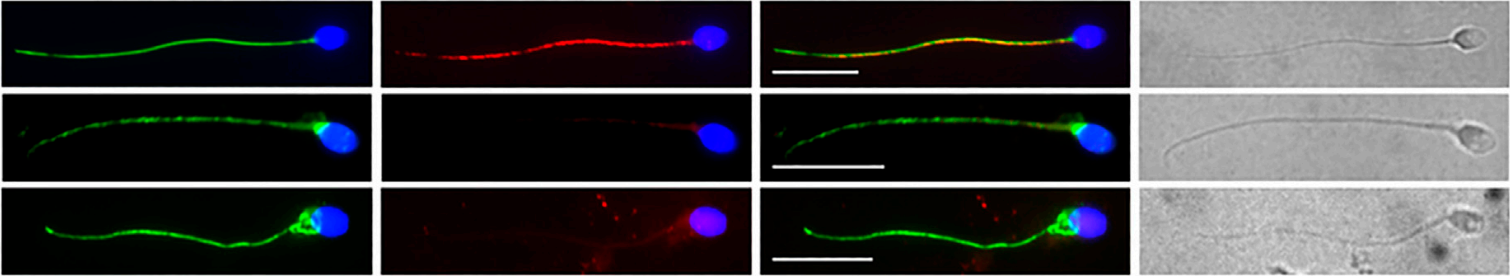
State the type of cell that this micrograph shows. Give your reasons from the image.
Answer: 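Spermatozoa. Each cell has a small oval head with a blue-stained nucleus. A single long thin tail extends from each head. The tail is many times longer than the head.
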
